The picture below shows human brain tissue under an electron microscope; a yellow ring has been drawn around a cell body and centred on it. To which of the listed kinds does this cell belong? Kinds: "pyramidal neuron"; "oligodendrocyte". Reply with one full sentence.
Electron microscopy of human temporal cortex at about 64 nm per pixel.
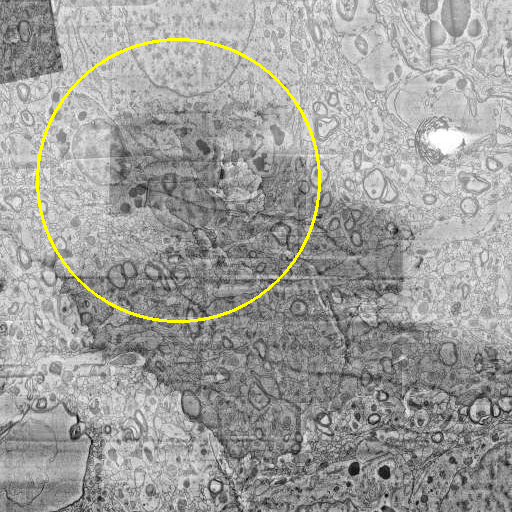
It is an oligodendrocyte that the yellow ring in the picture is centred on.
